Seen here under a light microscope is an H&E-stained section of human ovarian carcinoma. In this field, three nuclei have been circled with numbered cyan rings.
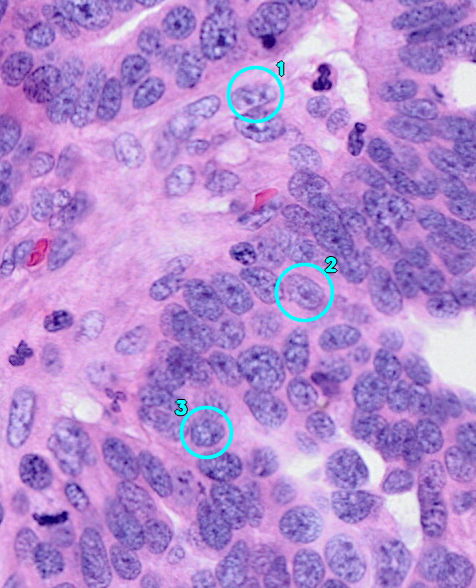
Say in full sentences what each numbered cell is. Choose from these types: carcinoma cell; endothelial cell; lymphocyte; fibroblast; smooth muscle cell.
Cell 1 is a fibroblast, cell 2 is a carcinoma cell and cell 3 is a carcinoma cell.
